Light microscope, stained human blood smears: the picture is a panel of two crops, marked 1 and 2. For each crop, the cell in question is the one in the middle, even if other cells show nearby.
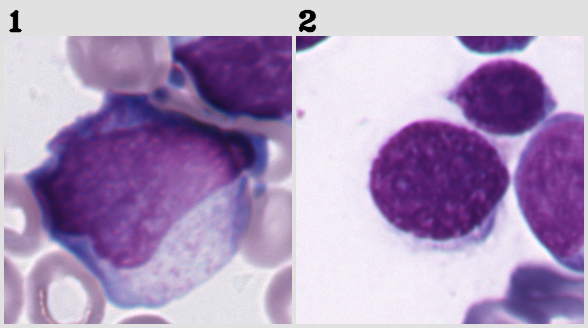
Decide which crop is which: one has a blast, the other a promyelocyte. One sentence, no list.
Well, crop 1 is a promyelocyte, and crop 2 is a blast.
